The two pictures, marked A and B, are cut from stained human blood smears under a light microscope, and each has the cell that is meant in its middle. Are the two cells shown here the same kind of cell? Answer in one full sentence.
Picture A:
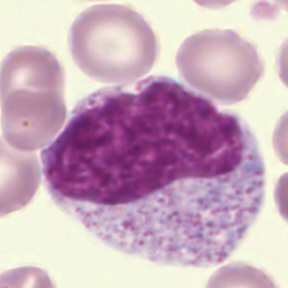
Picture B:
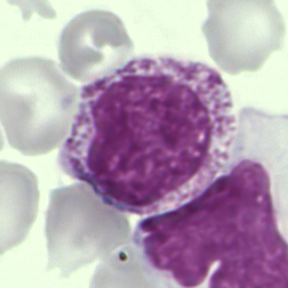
Yes, both cells are myelocytes.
